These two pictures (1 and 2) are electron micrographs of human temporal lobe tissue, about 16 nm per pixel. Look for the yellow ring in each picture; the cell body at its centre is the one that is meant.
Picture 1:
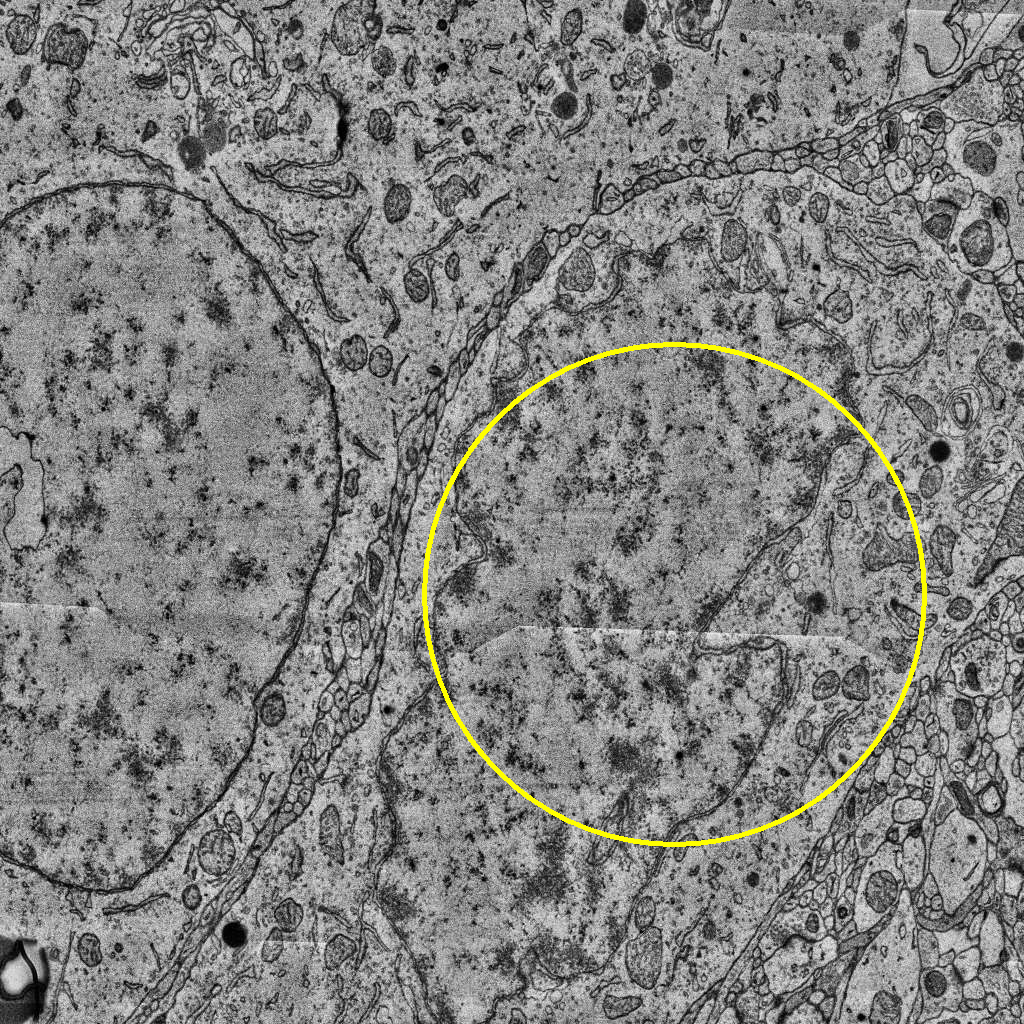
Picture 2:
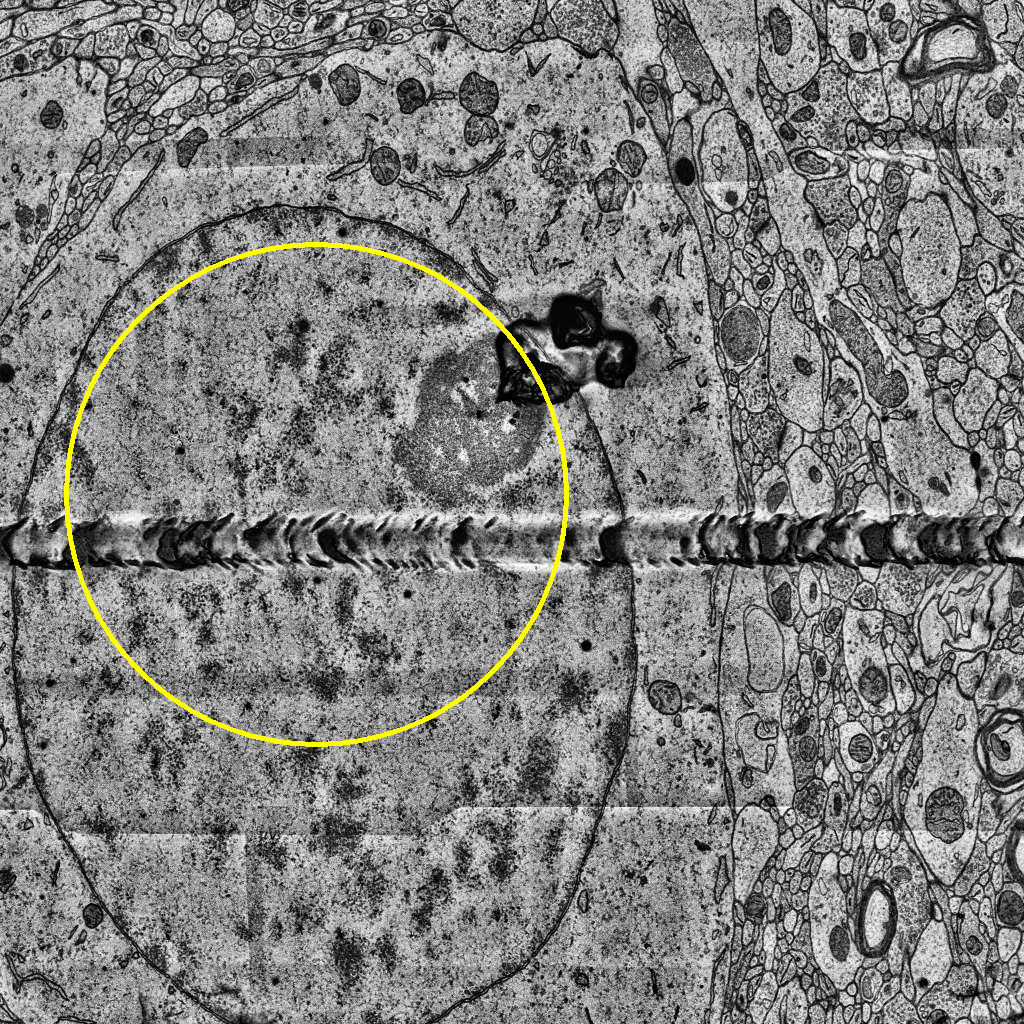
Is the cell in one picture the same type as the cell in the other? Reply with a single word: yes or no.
no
